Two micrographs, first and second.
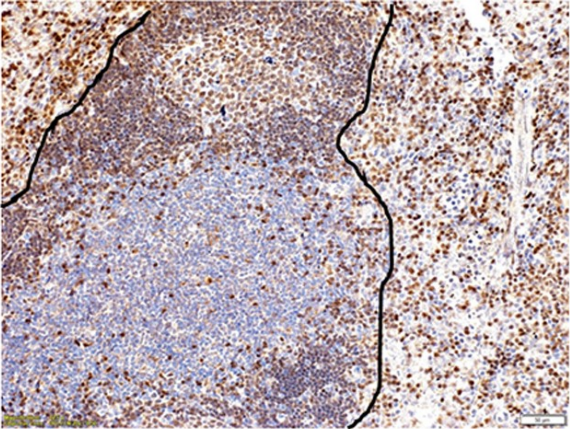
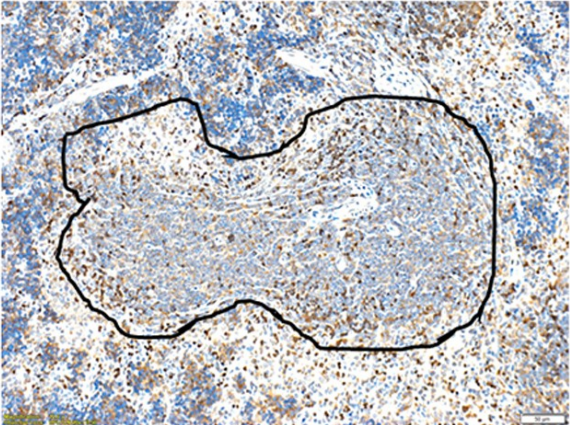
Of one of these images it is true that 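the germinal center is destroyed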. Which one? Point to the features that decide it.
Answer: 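The second image. Second image: the outlined area is loose and disorganized, with no dense corona of brown-stained lymphocytes. First image: a large follicle with a dense, dark brown rim of packed lymphocytes around a paler center.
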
